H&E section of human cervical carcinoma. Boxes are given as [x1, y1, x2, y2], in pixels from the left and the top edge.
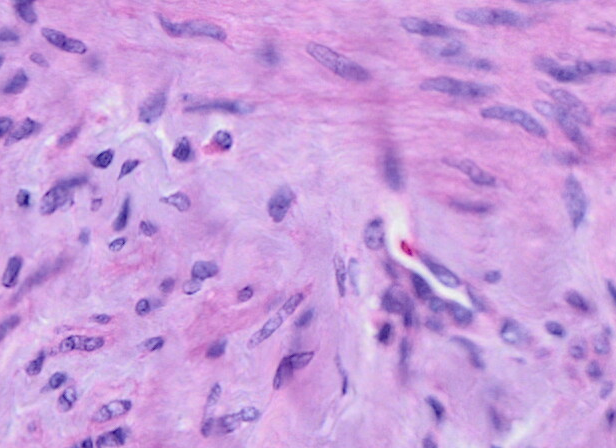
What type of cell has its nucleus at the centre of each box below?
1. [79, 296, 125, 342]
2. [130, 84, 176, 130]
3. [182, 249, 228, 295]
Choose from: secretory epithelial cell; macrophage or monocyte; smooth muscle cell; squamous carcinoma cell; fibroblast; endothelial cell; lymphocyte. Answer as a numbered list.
1. smooth muscle cell
2. fibroblast
3. fibroblast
